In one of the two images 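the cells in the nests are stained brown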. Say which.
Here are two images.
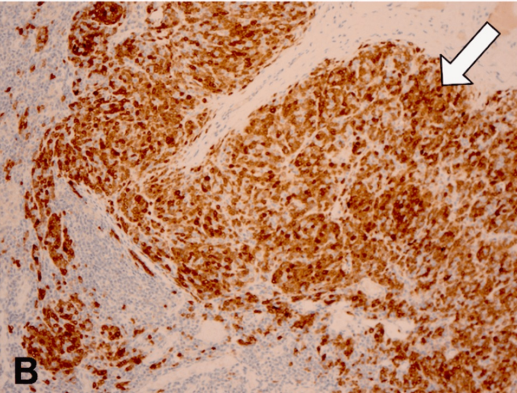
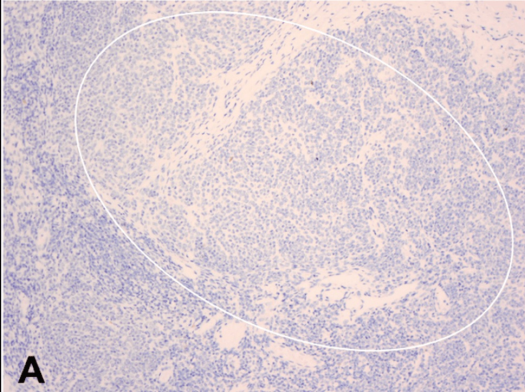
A: the first image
